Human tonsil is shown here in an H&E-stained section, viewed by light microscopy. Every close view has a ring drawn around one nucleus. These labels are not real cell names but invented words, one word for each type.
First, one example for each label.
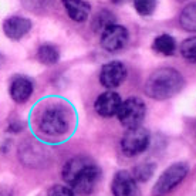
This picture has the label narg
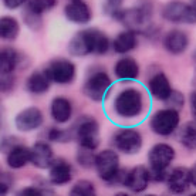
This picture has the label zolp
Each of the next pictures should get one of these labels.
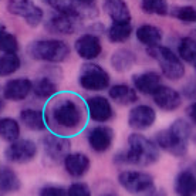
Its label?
zolp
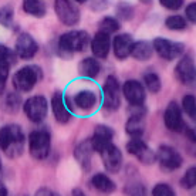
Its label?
zolp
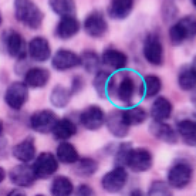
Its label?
zolp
